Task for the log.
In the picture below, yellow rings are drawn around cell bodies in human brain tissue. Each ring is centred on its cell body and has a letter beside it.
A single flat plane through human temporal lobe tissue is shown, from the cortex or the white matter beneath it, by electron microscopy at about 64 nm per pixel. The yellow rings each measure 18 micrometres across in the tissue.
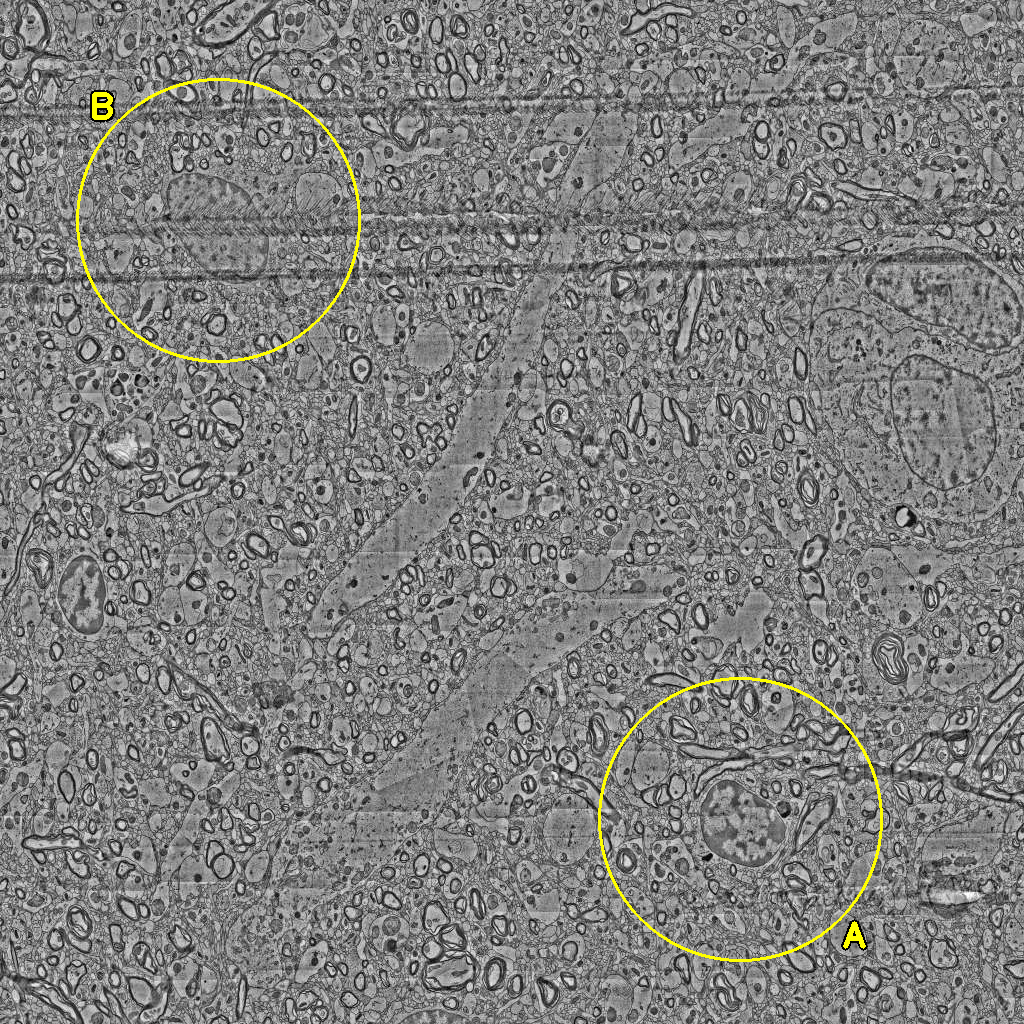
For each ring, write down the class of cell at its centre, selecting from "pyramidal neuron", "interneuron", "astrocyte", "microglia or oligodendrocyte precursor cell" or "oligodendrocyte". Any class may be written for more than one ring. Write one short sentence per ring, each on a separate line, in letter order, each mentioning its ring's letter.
The cell inside ring A, at its centre, is a microglial cell or oligodendrocyte precursor cell.
The cell inside ring B, at its centre, is an oligodendrocyte.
